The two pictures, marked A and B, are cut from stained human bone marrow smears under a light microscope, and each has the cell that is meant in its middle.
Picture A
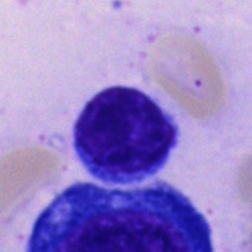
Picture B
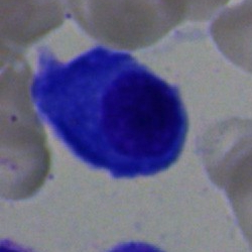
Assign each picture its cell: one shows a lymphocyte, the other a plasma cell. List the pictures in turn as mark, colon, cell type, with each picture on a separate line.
A: lymphocyte
B: plasma cell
